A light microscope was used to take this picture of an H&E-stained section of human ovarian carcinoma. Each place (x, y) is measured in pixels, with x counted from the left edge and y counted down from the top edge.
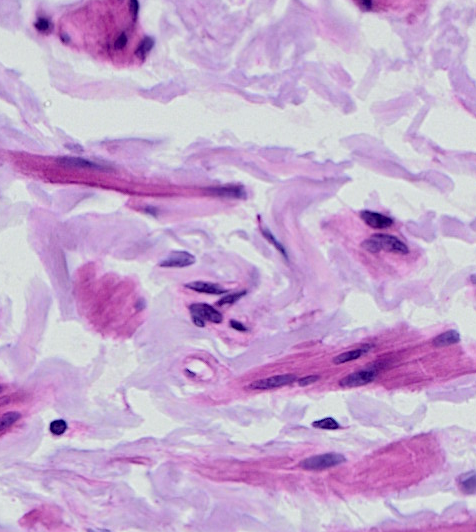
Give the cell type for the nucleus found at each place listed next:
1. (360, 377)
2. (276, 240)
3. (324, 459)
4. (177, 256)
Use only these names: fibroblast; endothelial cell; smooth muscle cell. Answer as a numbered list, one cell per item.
1. smooth muscle cell
2. fibroblast
3. smooth muscle cell
4. fibroblast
